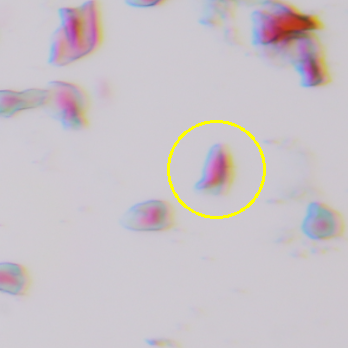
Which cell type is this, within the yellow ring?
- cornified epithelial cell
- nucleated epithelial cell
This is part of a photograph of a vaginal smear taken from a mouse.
Within the ring is a cornified epithelial cell.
